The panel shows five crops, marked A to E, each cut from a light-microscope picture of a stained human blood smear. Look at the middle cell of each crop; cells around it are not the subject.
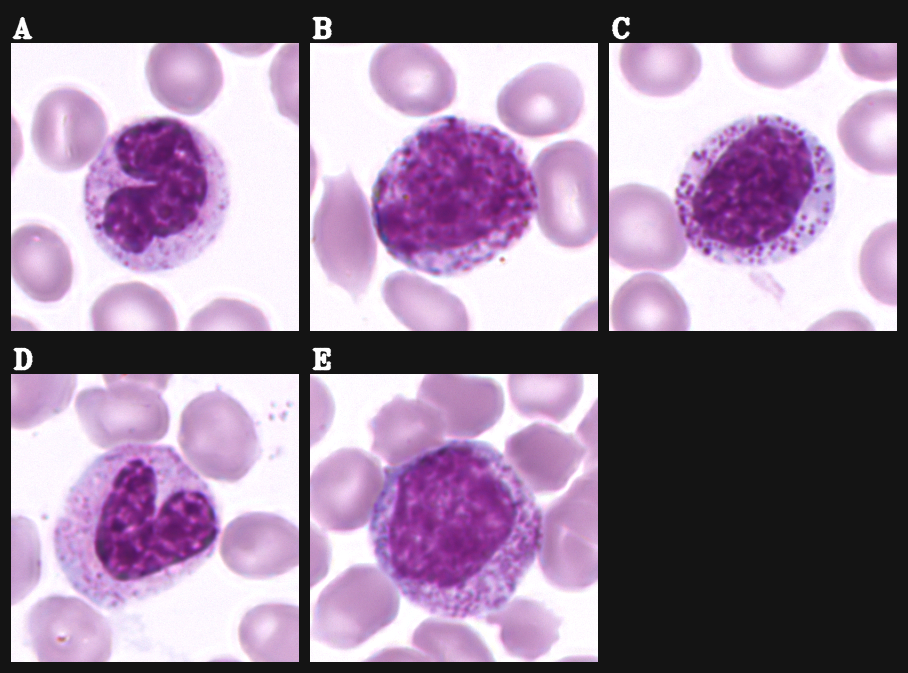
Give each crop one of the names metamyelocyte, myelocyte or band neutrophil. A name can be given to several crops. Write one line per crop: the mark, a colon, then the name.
A: band neutrophil
B: metamyelocyte
C: metamyelocyte
D: band neutrophil
E: myelocyte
